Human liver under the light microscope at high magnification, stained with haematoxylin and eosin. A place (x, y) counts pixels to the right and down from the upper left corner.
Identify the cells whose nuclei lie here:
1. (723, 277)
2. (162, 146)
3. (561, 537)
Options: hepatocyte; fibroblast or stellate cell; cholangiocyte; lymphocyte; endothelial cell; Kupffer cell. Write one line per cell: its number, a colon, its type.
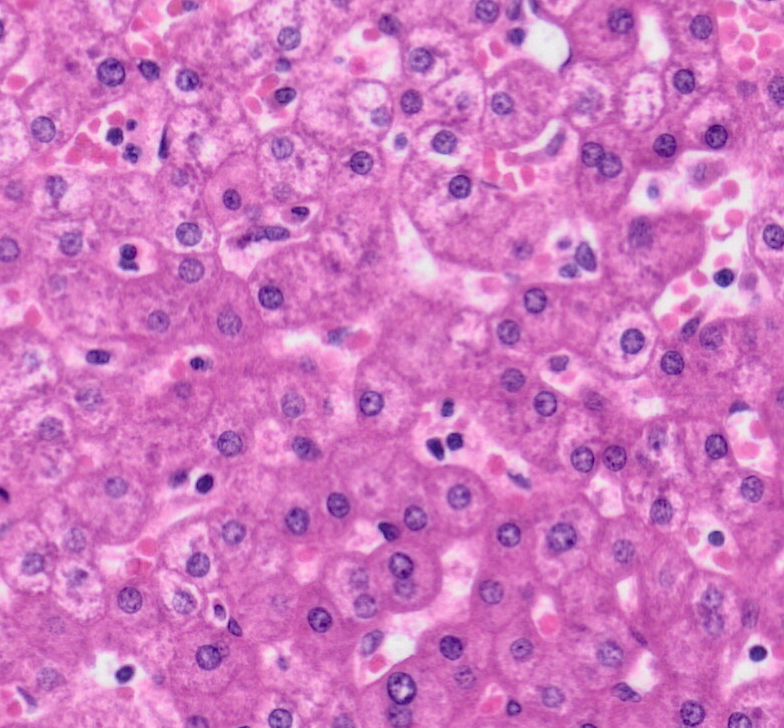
1: lymphocyte
2: endothelial cell
3: hepatocyte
